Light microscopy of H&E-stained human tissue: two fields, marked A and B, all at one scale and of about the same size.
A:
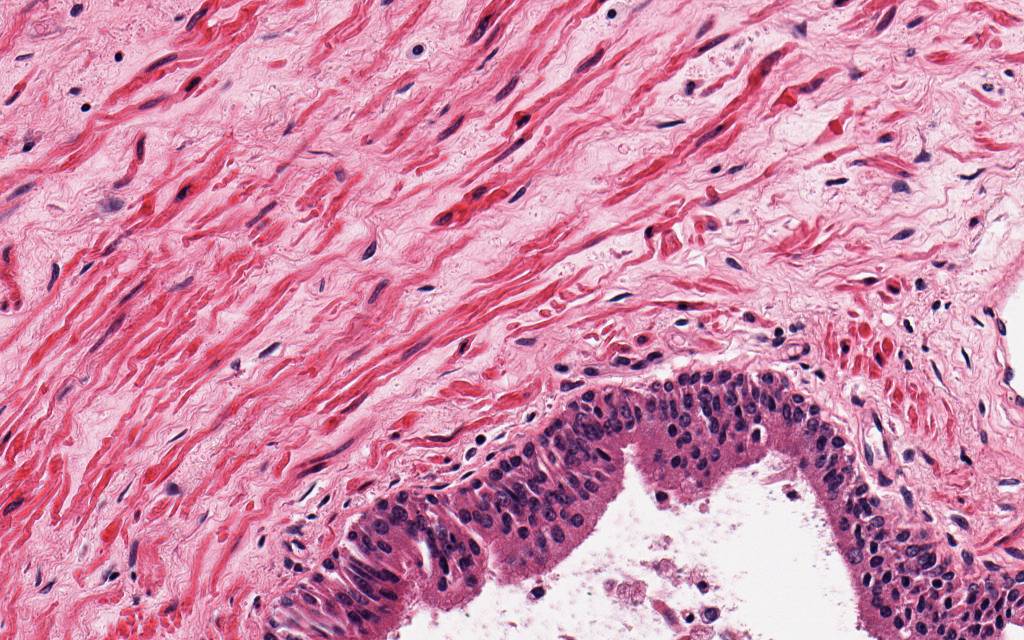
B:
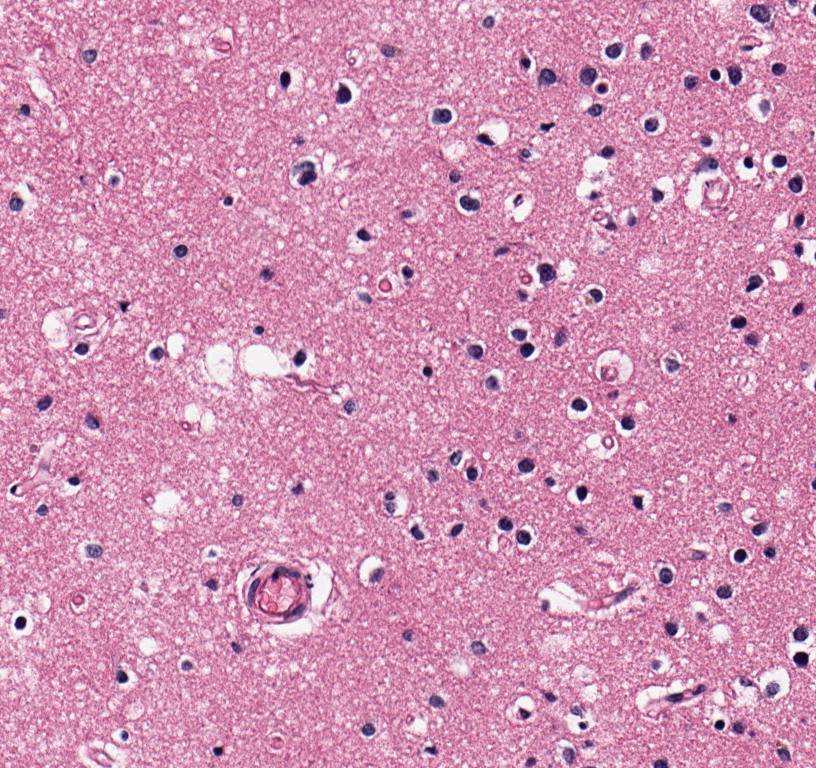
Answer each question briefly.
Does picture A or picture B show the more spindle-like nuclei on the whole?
A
